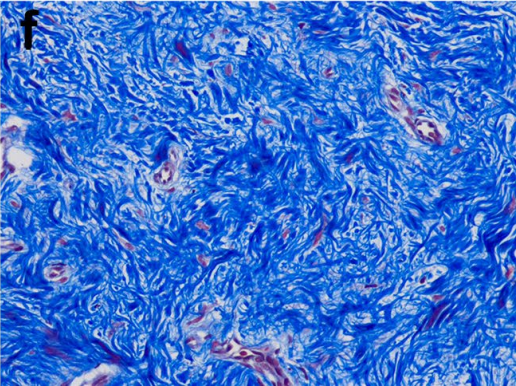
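This trichrome-stained section shows connective tissue dominated by collagenous tissue, which appears intensely blue. The blue fibres run in many directions, forming a dense, interwoven meshwork across the whole field. Small vessels are visible as rounded or elongated structures with red-to-purple walls, standing out against the blue. Scattered dark nuclei lie among the fibres. Little else besides collagen and small vessels is present, reflecting an excess of fibrous tissue.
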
